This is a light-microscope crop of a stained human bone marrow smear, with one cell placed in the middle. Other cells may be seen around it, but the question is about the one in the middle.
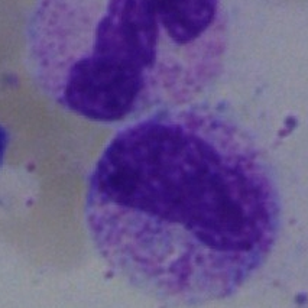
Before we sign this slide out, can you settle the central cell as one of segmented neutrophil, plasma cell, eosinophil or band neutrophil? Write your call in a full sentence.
As for the cell in the middle, it is a band neutrophil.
